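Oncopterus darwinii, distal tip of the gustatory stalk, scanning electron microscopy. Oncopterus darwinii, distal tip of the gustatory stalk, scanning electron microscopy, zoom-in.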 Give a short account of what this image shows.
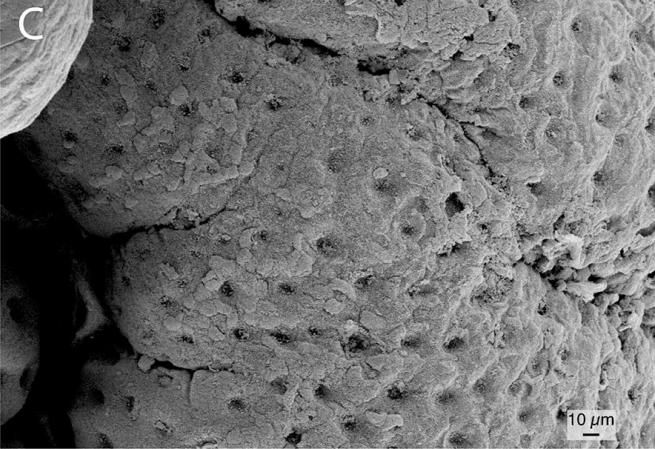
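Surface of the globular head covered by numerous dimples. Rounded, bulging lobes are separated by narrow furrows. Small round pits are scattered fairly evenly across the lobes. The surface between the pits is rough and irregular.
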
